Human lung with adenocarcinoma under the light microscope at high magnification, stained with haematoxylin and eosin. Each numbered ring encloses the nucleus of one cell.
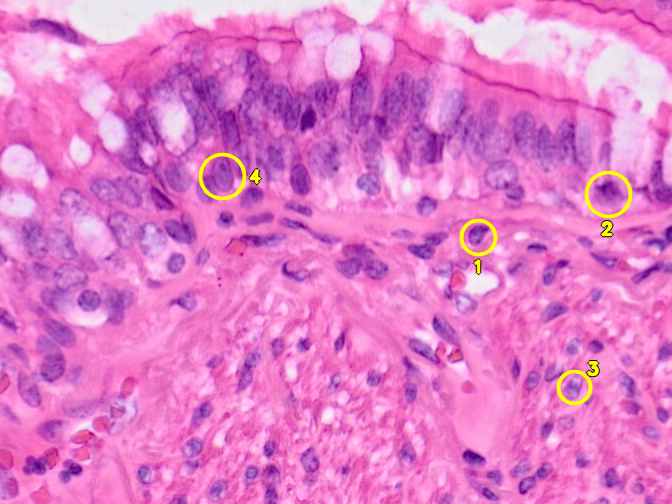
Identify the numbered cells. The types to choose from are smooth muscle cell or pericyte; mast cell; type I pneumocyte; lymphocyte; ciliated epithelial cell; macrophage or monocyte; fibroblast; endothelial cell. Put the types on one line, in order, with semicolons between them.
mast cell; ciliated epithelial cell; smooth muscle cell or pericyte; ciliated epithelial cell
